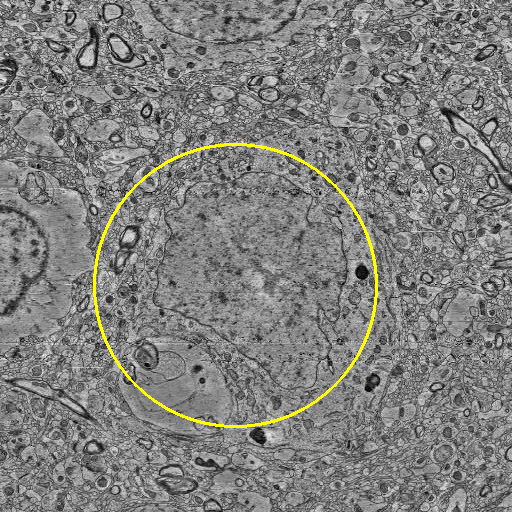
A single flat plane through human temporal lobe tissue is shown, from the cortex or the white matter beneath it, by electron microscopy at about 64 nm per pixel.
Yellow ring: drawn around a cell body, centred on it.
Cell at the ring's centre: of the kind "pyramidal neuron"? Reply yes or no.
yes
